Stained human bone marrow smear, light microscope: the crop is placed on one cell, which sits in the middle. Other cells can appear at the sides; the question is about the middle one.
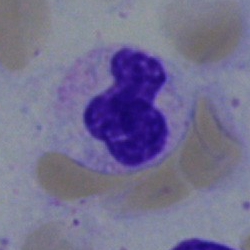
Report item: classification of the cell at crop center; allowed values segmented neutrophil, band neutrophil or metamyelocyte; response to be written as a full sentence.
Present in the middle of the crop is a band neutrophil.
